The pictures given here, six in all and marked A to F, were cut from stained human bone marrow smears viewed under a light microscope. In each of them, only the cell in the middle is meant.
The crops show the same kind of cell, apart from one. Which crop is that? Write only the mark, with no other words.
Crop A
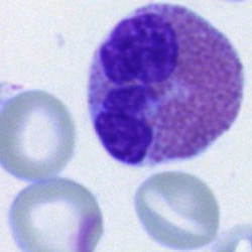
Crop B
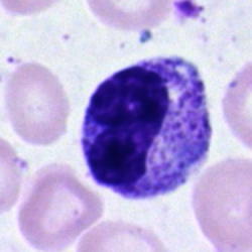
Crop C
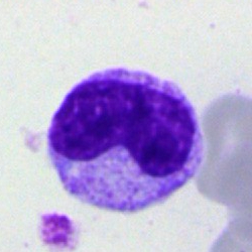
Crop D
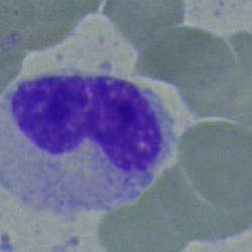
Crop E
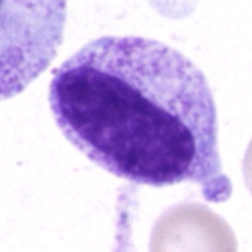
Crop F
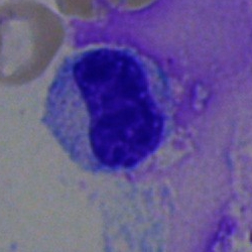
A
